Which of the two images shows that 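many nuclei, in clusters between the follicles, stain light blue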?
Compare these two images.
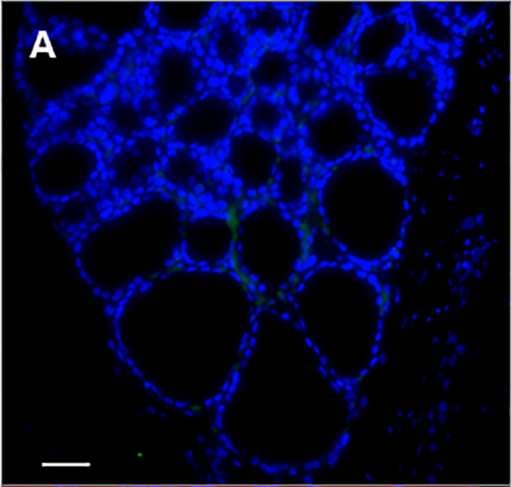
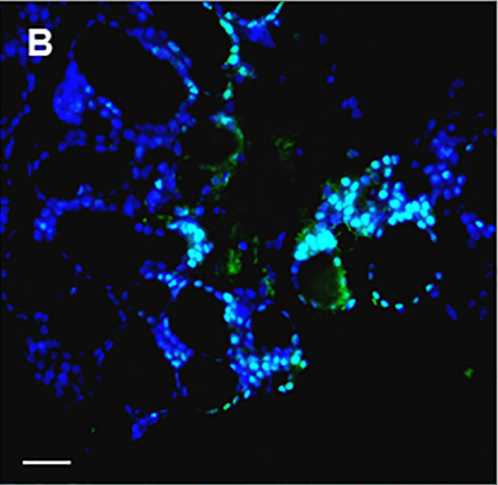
the second image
